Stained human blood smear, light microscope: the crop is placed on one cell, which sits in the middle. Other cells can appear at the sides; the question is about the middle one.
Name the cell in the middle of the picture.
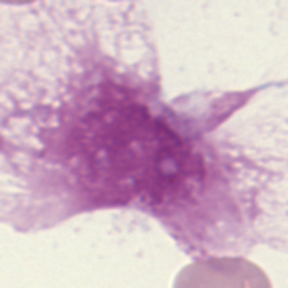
smudge cell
